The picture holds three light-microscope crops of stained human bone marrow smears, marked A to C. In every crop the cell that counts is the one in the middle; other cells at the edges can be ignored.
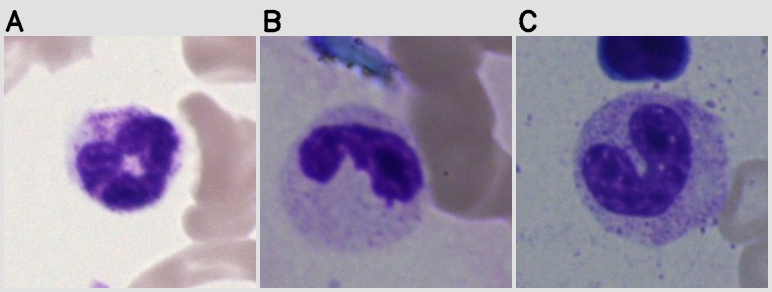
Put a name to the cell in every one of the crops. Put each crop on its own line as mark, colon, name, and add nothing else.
A: segmented neutrophil
B: band neutrophil
C: band neutrophil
